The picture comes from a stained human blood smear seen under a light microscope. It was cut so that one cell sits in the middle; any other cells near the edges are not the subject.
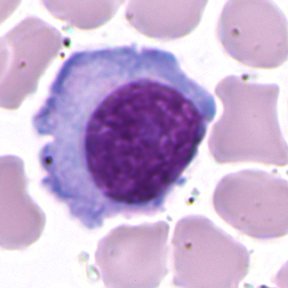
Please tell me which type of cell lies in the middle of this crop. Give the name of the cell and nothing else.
plasma cell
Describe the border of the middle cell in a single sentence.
Not smooth, the outline of the cell is ragged or drawn out into projections.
